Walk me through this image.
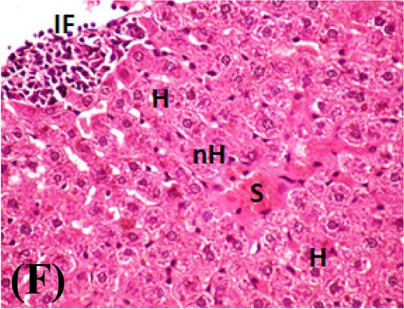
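Liver tissue in which a dense cluster of small lymphocytes with round, dark-purple nuclei and little cytoplasm sits at the upper left, clearly set off from the surrounding liver cells. The hepatocytes are large and polygonal with pink cytoplasm and round nuclei, arranged in cords separated by sinusoids. Near the centre a sinusoidal space is filled with pink material, and some liver cells look pale with faint or altered nuclei.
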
